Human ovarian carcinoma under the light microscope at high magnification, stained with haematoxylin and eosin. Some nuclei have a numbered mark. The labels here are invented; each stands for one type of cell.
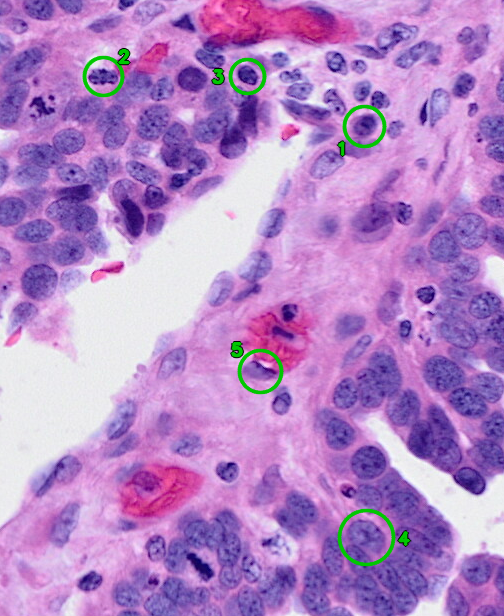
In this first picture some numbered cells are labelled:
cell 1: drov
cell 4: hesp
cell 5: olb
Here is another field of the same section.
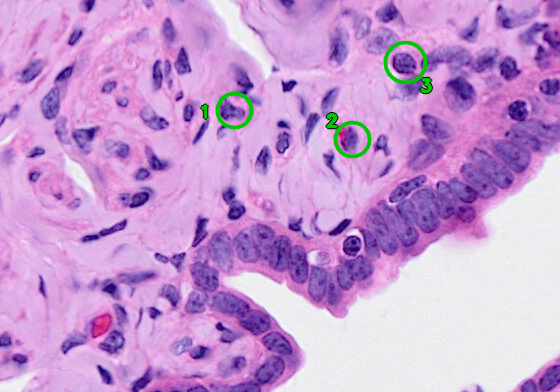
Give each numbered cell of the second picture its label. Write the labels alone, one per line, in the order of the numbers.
olb
olb
drov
